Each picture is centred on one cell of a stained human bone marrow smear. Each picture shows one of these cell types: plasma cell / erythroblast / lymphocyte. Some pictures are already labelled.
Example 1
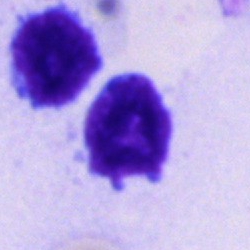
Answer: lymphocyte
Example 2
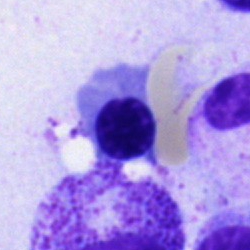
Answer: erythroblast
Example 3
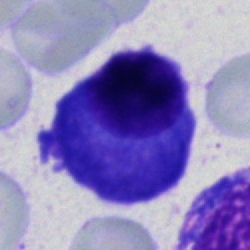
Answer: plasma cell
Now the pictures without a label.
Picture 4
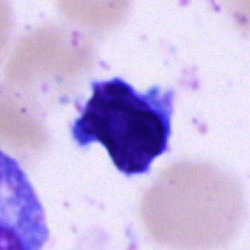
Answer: lymphocyte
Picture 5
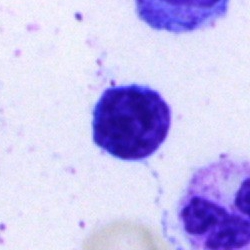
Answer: lymphocyte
